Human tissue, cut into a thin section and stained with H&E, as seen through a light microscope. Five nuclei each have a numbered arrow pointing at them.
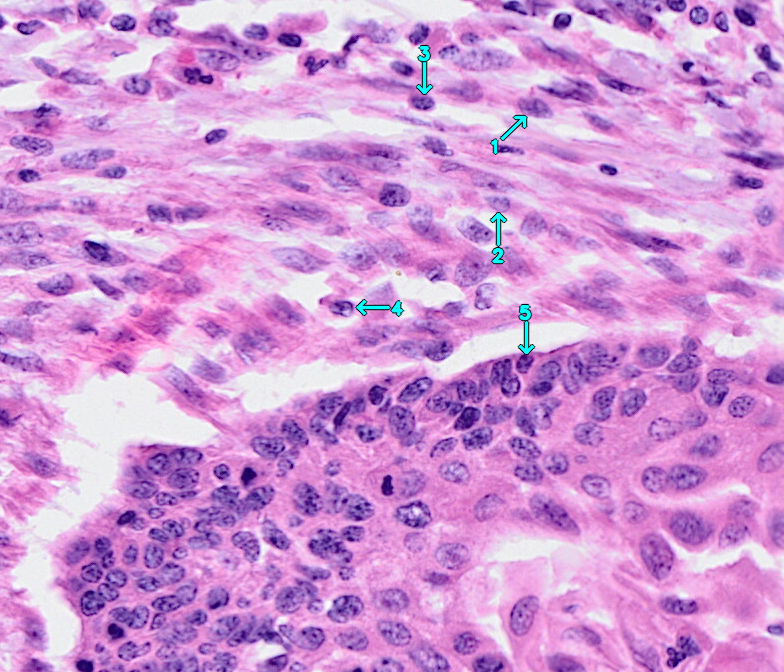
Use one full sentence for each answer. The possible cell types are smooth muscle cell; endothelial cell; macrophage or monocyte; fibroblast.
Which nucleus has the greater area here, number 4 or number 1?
Nucleus 1 is larger, with an area about 1.5 times that of nucleus 4.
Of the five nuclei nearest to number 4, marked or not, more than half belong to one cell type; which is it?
Most of the five nuclei nearest to number 4 are those of fibroblasts.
